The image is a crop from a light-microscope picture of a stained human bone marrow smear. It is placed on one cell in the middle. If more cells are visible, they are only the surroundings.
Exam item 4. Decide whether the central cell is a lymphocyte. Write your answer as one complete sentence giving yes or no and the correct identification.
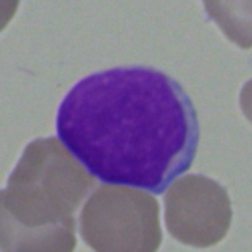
No, the one in the center is not a lymphocyte; it is a blast.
